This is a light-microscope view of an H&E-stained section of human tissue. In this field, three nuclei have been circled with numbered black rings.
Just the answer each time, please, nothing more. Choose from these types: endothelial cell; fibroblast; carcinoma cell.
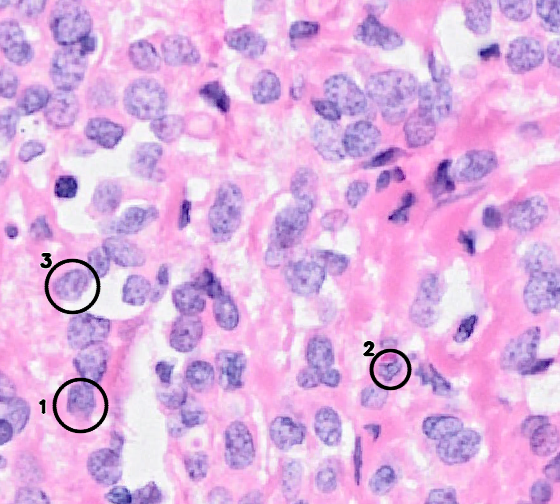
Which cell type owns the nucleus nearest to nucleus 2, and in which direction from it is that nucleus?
an endothelial cell, above nucleus 2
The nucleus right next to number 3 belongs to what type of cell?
carcinoma cell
